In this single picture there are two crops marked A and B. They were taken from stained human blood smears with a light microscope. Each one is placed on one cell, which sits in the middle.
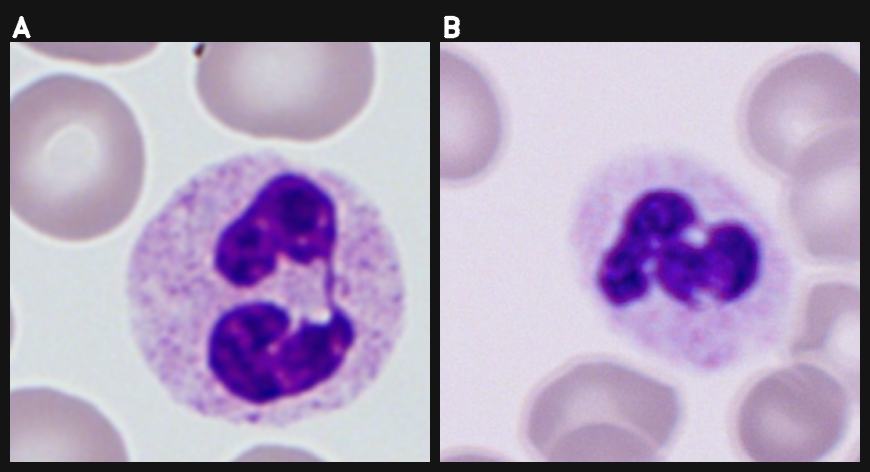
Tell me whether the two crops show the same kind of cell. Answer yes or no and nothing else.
yes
